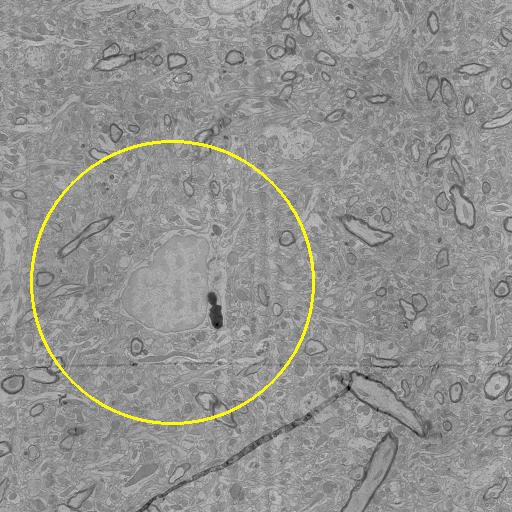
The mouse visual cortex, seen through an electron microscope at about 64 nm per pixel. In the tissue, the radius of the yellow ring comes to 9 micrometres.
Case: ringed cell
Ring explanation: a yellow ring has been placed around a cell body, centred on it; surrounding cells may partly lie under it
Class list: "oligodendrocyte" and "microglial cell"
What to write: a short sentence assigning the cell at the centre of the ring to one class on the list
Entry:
The cell at the ring's centre is a microglial cell.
